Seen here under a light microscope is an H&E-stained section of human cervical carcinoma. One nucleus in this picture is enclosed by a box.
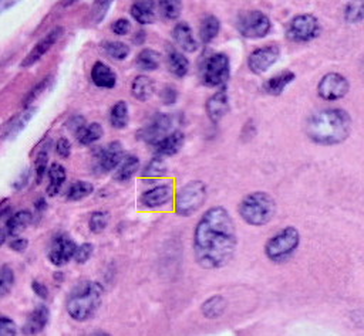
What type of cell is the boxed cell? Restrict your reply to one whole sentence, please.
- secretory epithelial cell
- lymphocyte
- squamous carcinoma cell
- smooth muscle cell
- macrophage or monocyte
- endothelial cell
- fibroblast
Typologically, the boxed cell is a squamous carcinoma cell in this section.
